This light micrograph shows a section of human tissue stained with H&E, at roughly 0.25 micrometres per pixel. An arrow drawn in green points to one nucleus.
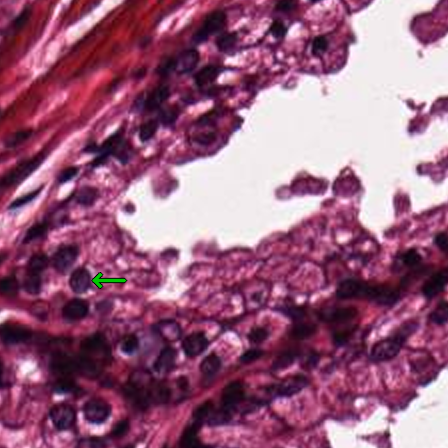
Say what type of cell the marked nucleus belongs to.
prostate gland luminal cell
